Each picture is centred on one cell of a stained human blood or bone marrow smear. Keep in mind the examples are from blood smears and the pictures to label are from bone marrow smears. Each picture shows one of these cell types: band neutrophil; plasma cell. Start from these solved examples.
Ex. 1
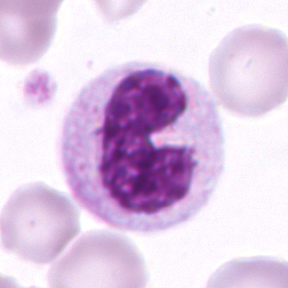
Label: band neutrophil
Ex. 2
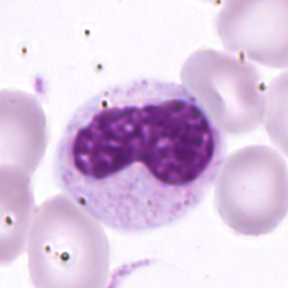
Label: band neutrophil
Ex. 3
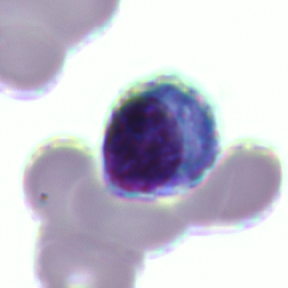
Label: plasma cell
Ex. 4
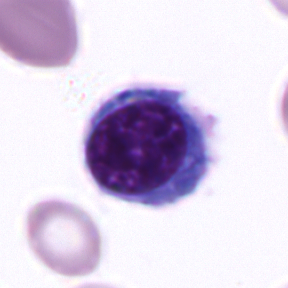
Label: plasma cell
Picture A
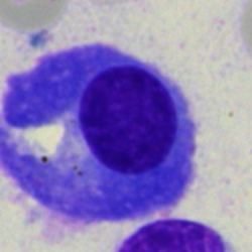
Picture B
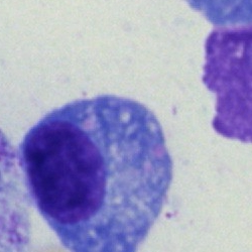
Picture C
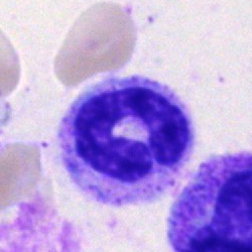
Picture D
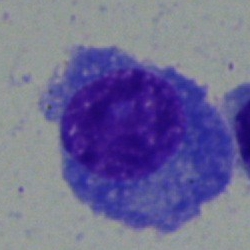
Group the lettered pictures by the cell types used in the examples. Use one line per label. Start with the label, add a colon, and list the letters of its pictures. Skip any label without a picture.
band neutrophil: C
plasma cell: A, B, D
